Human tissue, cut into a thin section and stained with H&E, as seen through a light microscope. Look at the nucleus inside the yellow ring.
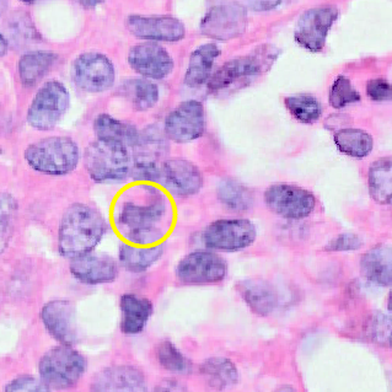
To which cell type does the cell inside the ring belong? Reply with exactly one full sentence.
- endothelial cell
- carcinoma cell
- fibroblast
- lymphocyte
As for its identity, the cell inside the ring is a carcinoma cell.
